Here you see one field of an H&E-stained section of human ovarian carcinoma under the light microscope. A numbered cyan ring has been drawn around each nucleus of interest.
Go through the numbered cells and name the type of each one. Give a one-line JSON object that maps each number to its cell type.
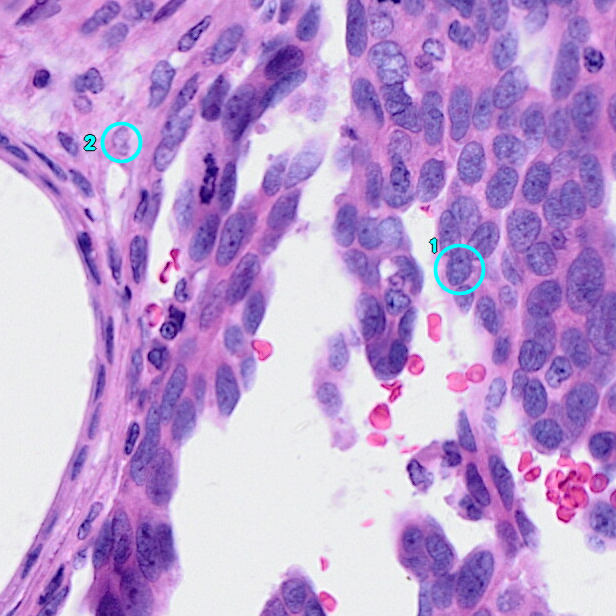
{"1": "carcinoma cell", "2": "fibroblast"}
